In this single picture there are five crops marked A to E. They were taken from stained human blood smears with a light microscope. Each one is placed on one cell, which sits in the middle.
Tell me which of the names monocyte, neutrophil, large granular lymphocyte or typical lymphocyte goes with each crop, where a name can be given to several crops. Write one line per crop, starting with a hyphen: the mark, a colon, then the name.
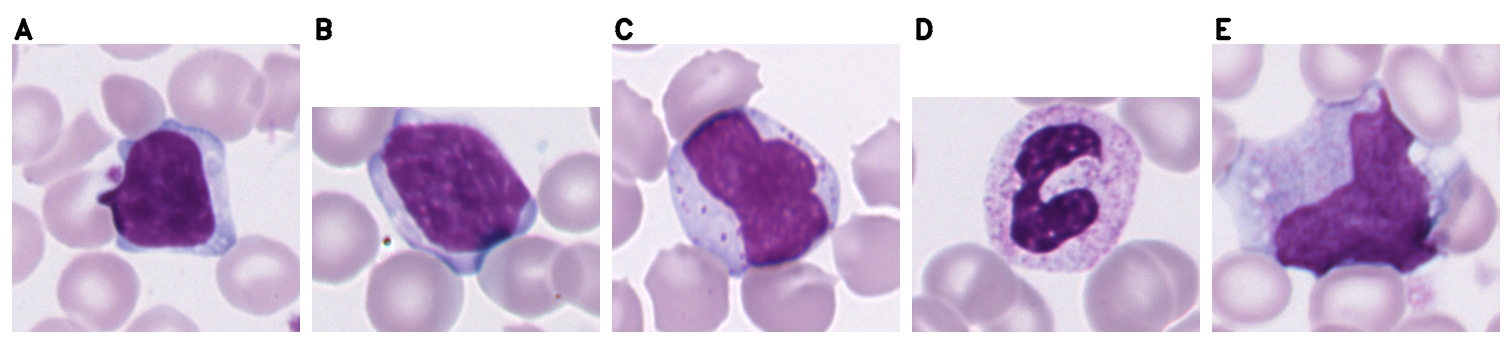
- A: typical lymphocyte
- B: typical lymphocyte
- C: large granular lymphocyte
- D: neutrophil
- E: monocyte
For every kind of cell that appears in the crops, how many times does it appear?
typical lymphocyte: 2
large granular lymphocyte: 1
neutrophil: 1
monocyte: 1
